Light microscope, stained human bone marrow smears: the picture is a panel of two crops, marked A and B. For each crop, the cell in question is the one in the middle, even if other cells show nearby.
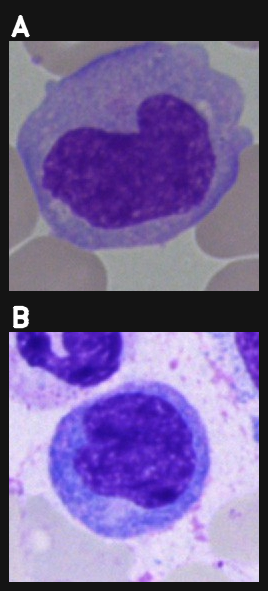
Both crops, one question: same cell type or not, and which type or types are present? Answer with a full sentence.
Yes, both crops do show monocytes in the middle.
